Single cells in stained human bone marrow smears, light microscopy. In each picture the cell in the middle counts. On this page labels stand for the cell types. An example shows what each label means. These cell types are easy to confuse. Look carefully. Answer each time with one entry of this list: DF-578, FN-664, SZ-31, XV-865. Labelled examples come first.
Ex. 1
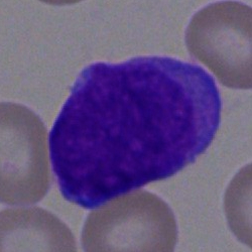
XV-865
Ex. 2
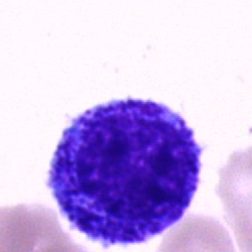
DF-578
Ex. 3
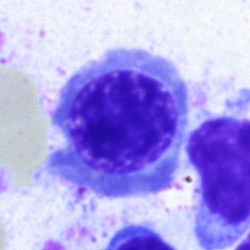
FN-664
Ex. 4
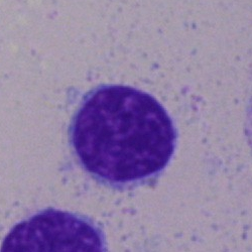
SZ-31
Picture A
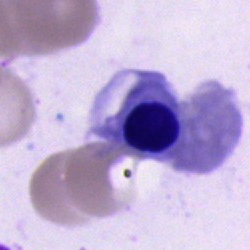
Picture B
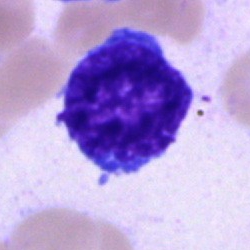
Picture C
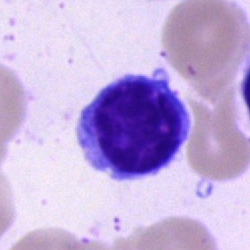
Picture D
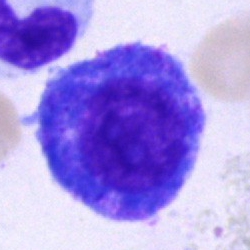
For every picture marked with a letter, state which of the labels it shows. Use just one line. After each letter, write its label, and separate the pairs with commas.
A FN-664, B XV-865, C SZ-31, D DF-578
